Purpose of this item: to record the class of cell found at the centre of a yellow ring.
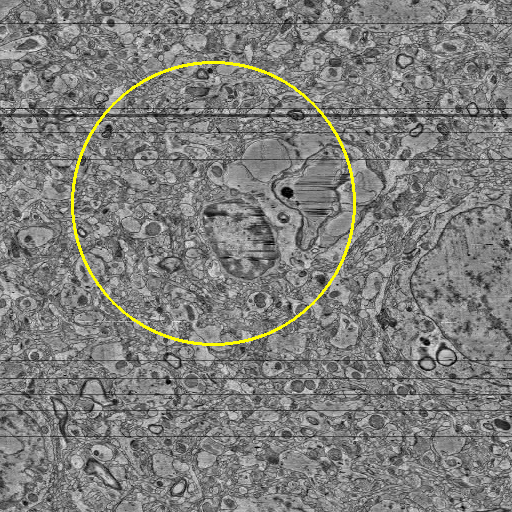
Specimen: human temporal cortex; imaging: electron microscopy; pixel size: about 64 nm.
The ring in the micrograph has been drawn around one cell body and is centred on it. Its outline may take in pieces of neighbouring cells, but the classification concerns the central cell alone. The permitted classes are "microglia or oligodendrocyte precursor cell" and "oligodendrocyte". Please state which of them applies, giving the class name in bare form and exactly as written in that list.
oligodendrocyte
